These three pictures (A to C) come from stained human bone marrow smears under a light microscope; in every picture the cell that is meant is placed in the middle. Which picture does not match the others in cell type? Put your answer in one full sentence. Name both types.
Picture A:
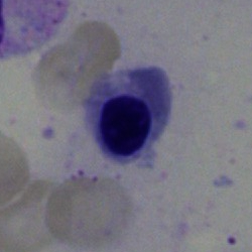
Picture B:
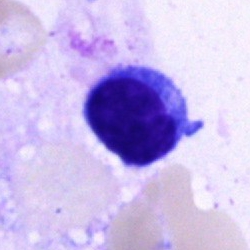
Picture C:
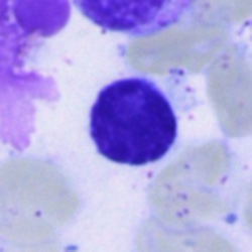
All pictures except A show lymphocytes; picture A shows an erythroblast.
